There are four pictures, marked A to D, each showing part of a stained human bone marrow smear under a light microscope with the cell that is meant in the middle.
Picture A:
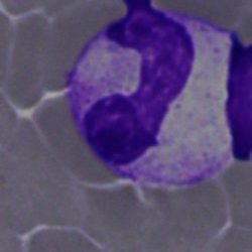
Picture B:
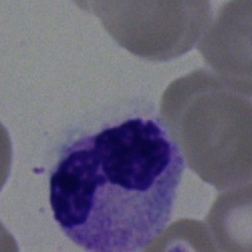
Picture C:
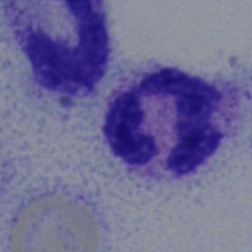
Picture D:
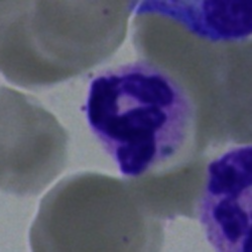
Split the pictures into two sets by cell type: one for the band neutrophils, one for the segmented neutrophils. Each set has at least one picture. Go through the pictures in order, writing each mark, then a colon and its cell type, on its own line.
A: band neutrophil
B: segmented neutrophil
C: segmented neutrophil
D: segmented neutrophil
